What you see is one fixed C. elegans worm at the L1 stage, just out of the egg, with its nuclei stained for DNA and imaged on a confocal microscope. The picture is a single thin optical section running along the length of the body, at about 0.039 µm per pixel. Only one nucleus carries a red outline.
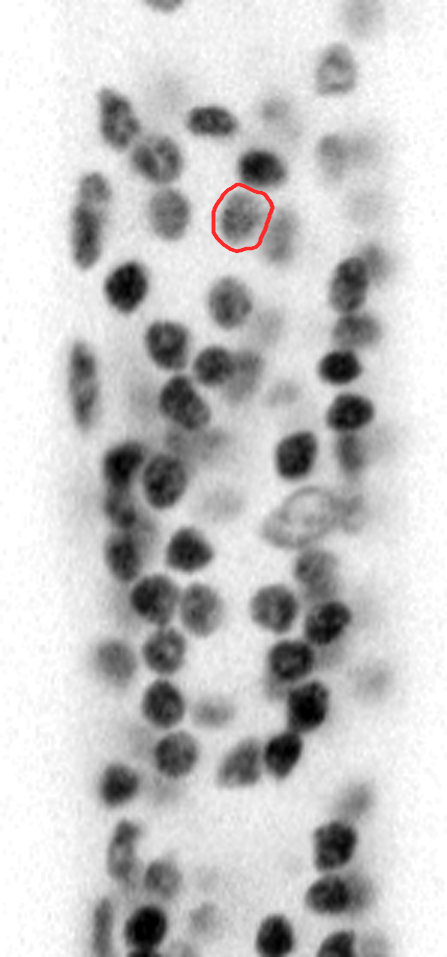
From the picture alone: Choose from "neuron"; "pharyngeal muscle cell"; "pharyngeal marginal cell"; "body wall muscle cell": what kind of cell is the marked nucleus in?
pharyngeal muscle cell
